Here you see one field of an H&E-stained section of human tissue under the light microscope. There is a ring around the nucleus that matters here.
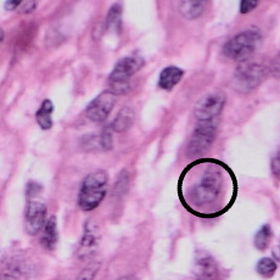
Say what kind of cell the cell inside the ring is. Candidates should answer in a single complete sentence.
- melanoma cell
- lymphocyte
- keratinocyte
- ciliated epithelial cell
Assigned to a cell type, the cell inside the ring is a melanoma cell.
